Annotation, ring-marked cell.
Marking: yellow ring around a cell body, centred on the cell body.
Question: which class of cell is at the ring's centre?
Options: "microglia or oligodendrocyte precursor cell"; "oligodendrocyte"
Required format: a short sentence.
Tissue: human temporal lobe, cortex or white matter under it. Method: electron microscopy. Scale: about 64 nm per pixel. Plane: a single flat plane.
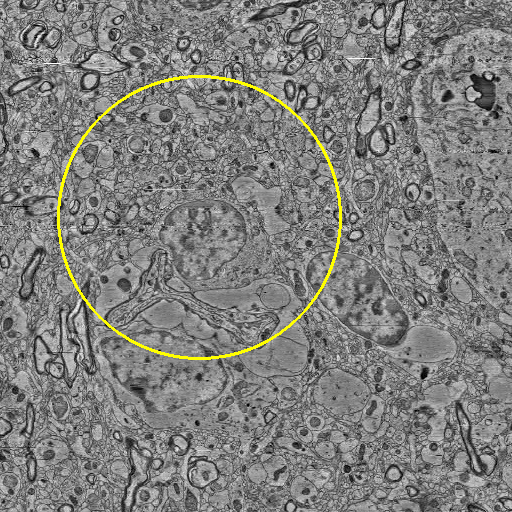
At the ring's centre is an oligodendrocyte.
